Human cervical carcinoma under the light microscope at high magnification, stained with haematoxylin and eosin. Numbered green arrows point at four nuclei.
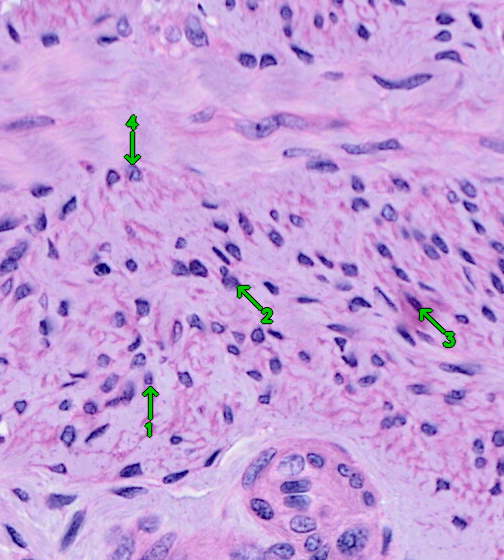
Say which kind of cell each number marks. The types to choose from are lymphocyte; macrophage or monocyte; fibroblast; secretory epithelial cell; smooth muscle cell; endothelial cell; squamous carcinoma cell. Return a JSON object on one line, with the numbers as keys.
{"1": "smooth muscle cell", "2": "fibroblast", "3": "smooth muscle cell", "4": "smooth muscle cell"}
